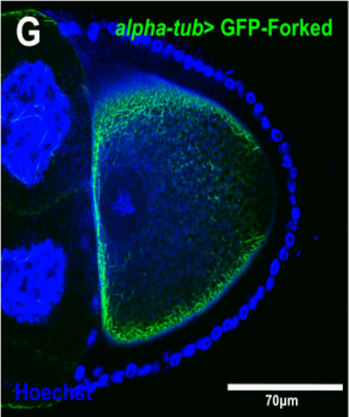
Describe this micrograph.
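This is an egg chamber with the large oocyte occupying the posterior end, wrapped by a single layer of small follicle cells whose round nuclei are stained blue. To the left, at the anterior side, sit much larger blue nuclei of neighbouring big cells. A green filamentous meshwork fills the oocyte, concentrated along its cortex, and a round darker area with a small blue spot marks the oocyte nucleus within it.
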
